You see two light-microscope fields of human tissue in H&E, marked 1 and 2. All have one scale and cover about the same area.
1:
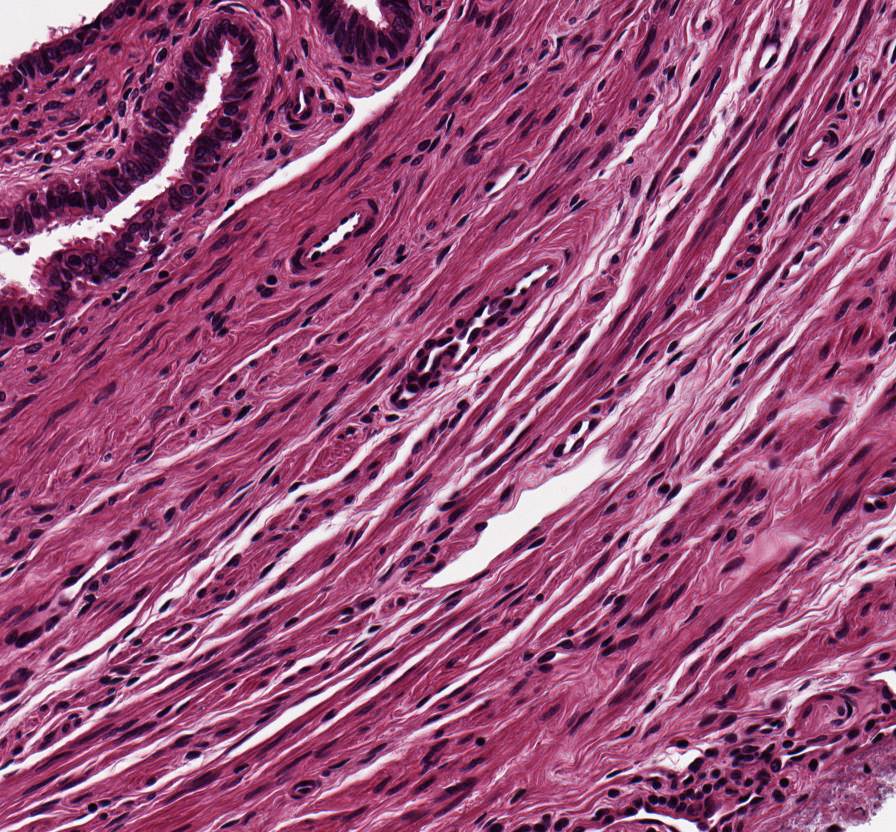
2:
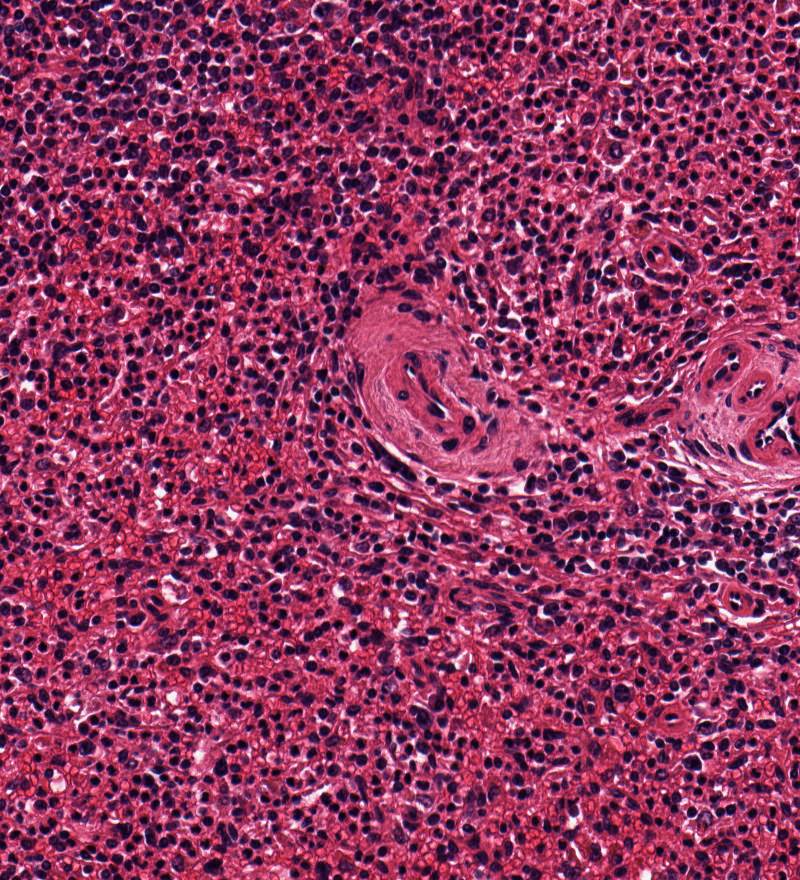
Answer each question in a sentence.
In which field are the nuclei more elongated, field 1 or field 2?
On the whole the nuclei of field 1 are more drawn out than those of field 2.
